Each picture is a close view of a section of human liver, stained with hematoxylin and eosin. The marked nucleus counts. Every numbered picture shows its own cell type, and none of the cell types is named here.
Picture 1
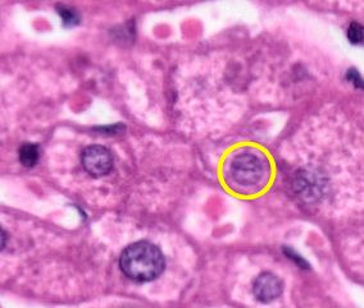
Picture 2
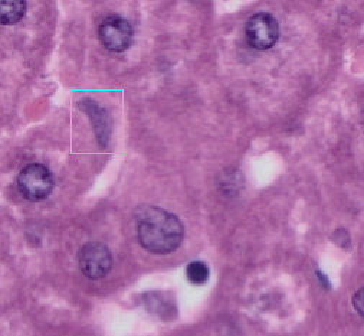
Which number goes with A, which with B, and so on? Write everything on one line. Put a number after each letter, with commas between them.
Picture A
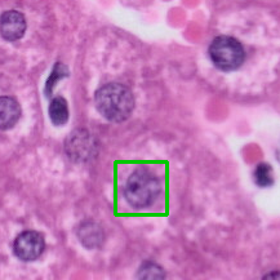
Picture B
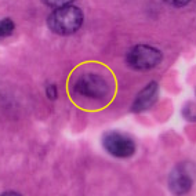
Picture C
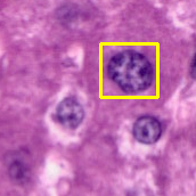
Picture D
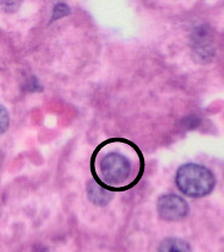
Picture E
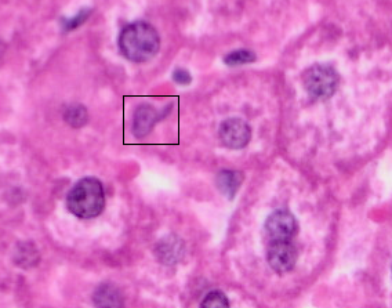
A 1, B 1, C 1, D 1, E 2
